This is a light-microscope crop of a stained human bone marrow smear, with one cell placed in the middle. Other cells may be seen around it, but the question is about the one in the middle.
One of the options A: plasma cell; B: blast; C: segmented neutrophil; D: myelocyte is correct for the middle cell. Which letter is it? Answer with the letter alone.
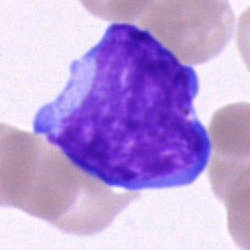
B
